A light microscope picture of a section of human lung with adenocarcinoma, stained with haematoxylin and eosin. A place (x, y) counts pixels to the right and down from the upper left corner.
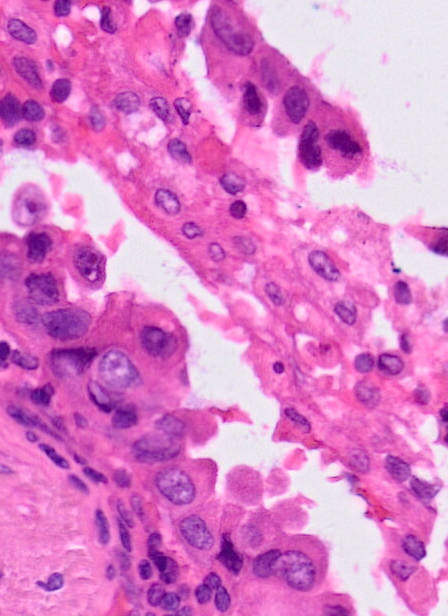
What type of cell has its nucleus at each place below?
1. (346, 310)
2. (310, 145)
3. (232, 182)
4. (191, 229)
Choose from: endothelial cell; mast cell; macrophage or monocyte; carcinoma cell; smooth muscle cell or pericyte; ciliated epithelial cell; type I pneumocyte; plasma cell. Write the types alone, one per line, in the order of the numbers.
macrophage or monocyte
carcinoma cell
macrophage or monocyte
macrophage or monocyte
